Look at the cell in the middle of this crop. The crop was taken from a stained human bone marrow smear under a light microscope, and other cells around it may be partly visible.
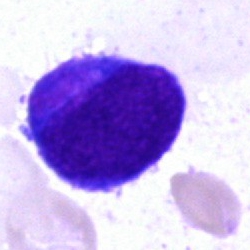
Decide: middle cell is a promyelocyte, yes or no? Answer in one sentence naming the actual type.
No, the cell located centrally is a blast rather than a promyelocyte.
